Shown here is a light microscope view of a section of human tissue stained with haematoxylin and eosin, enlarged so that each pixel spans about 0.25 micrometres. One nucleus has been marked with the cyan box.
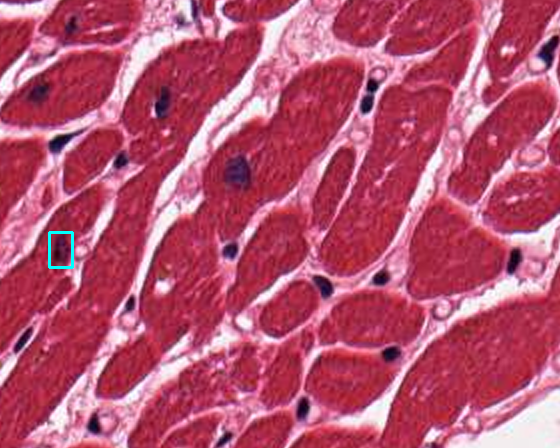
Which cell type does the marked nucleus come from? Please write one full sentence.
Here the marked nucleus belongs to a cardiomyocyte.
